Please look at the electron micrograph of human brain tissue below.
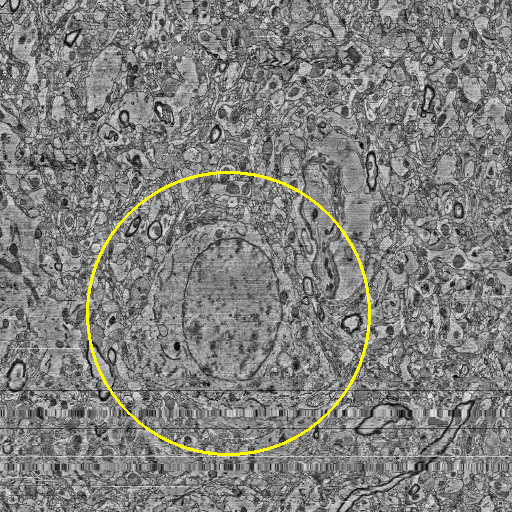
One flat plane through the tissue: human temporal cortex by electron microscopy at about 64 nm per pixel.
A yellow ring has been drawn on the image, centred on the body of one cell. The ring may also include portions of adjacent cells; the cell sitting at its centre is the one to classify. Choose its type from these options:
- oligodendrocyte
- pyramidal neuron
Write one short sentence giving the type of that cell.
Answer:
The cell in the middle of the ring is a pyramidal neuron.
